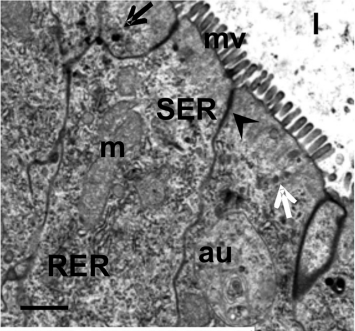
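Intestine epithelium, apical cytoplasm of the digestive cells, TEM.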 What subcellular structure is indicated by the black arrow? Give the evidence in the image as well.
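Small very dark round bodies lie in the apical cytoplasm where the black arrow points.
Hence: electron-dense vesicles.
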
